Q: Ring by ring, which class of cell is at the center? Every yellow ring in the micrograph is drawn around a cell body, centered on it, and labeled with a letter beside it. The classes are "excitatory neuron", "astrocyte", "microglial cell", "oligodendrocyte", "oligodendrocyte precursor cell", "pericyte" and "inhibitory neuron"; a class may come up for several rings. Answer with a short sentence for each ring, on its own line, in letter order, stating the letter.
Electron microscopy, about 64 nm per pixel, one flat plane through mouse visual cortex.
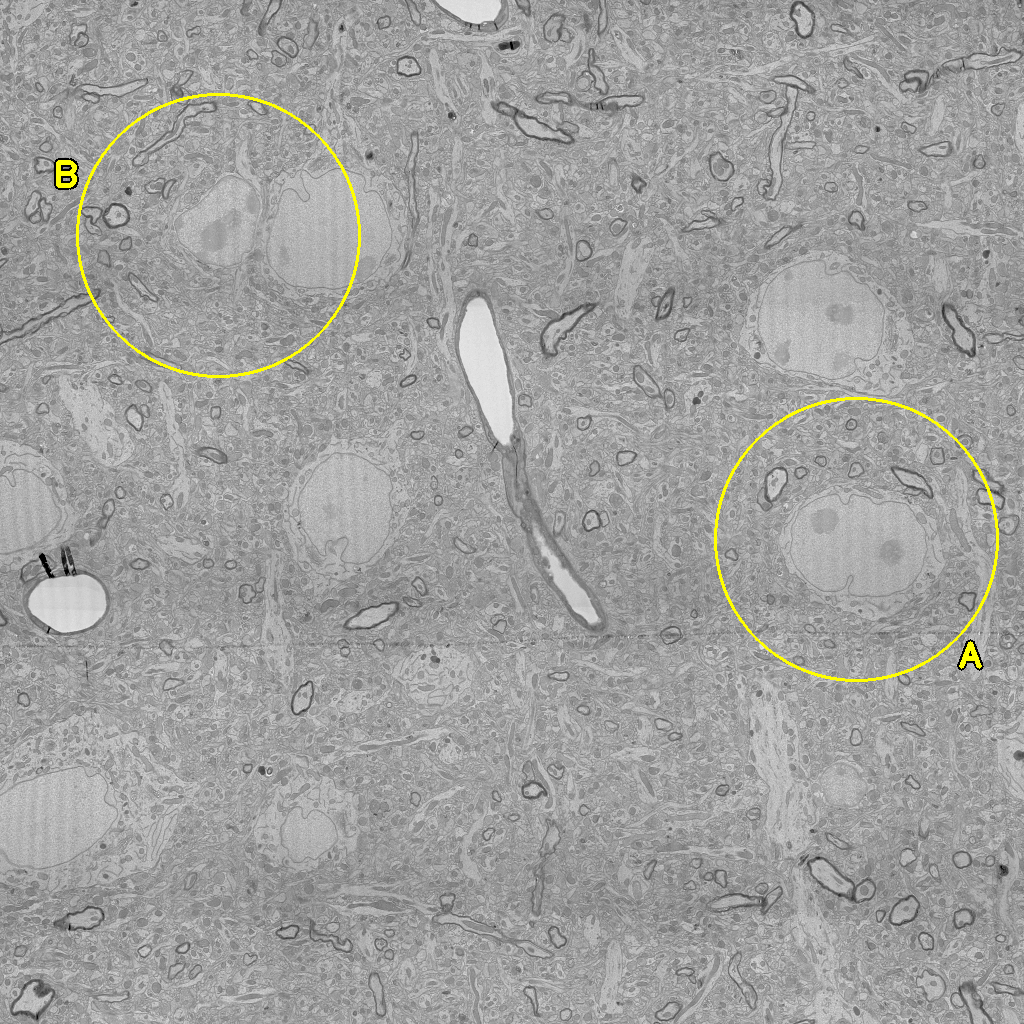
Ring A holds an excitatory neuron at its center.
Ring B holds an oligodendrocyte precursor cell at its center.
